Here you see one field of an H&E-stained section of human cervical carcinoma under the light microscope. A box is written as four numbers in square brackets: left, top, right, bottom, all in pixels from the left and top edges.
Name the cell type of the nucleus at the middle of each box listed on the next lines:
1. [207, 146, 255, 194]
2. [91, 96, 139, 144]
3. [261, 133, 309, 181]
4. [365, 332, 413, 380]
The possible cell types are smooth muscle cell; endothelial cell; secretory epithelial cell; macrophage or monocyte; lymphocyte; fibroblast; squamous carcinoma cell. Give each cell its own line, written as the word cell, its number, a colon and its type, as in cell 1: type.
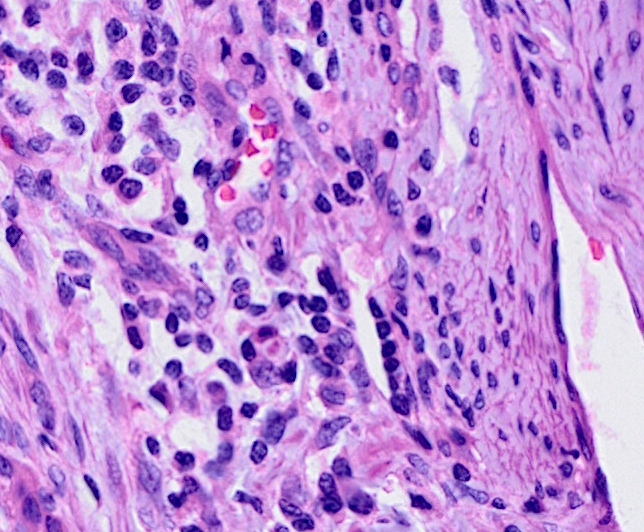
cell 1: endothelial cell
cell 2: lymphocyte
cell 3: endothelial cell
cell 4: lymphocyte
